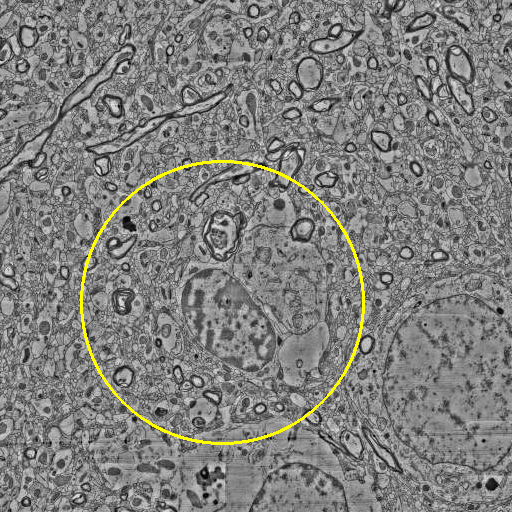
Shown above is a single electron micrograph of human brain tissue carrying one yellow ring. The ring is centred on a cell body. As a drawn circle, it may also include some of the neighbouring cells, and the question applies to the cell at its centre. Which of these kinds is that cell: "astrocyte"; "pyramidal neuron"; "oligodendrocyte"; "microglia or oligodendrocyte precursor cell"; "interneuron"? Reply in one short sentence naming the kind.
The cell marked by the ring is a microglial cell or oligodendrocyte precursor cell.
